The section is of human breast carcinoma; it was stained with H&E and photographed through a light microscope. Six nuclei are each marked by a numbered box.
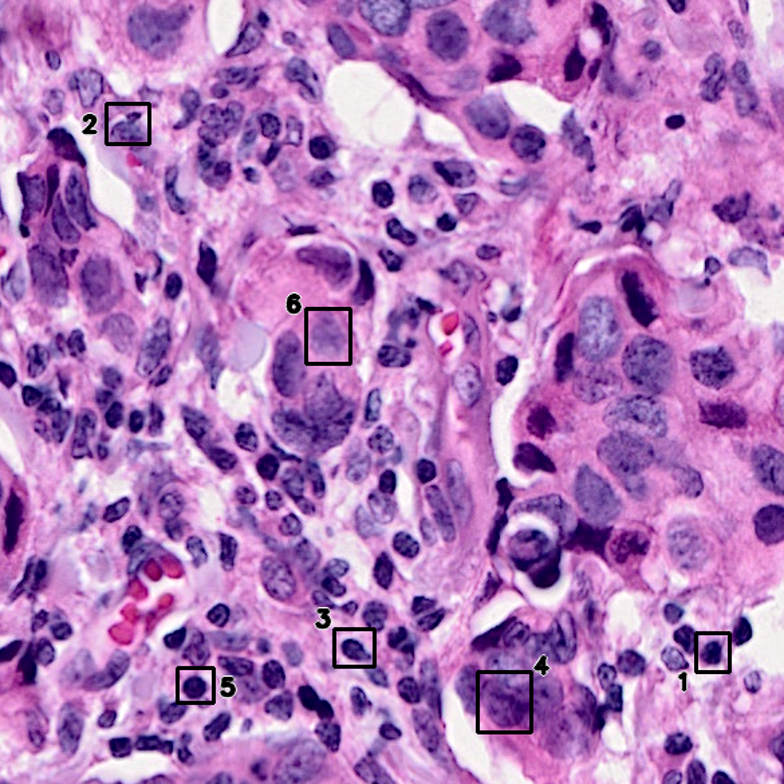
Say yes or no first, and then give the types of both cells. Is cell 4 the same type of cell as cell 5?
No, cell 4 is a carcinoma cell, and cell 5, for its part, is a lymphocyte.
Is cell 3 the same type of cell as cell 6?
No, cell 3 is a lymphocyte, whereas a carcinoma cell is what cell 6 is.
